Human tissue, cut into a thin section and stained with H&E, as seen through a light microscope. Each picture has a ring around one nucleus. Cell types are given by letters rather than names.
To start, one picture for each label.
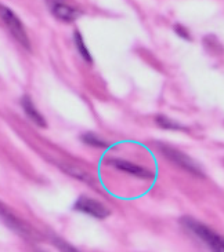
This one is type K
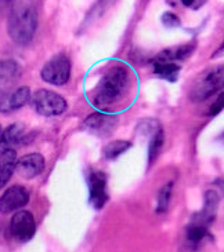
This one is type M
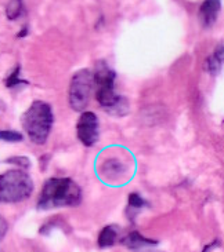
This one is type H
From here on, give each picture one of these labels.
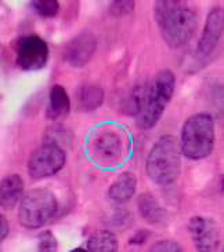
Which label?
type H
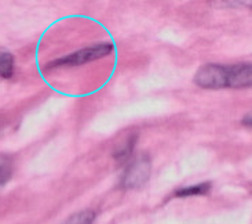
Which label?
type K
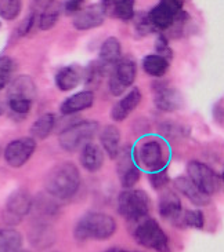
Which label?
type M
